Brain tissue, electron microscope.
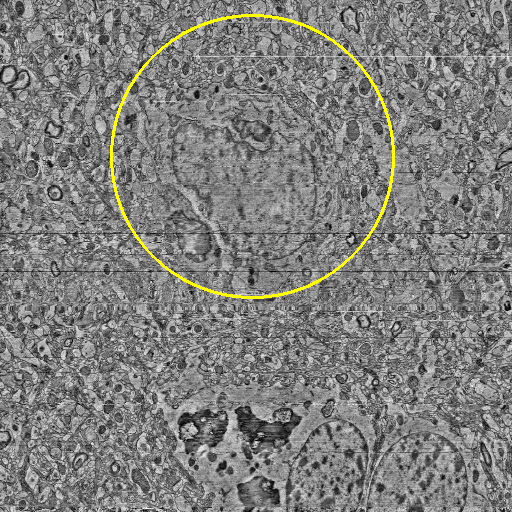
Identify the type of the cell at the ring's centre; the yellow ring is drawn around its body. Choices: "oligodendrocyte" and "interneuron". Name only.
interneuron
